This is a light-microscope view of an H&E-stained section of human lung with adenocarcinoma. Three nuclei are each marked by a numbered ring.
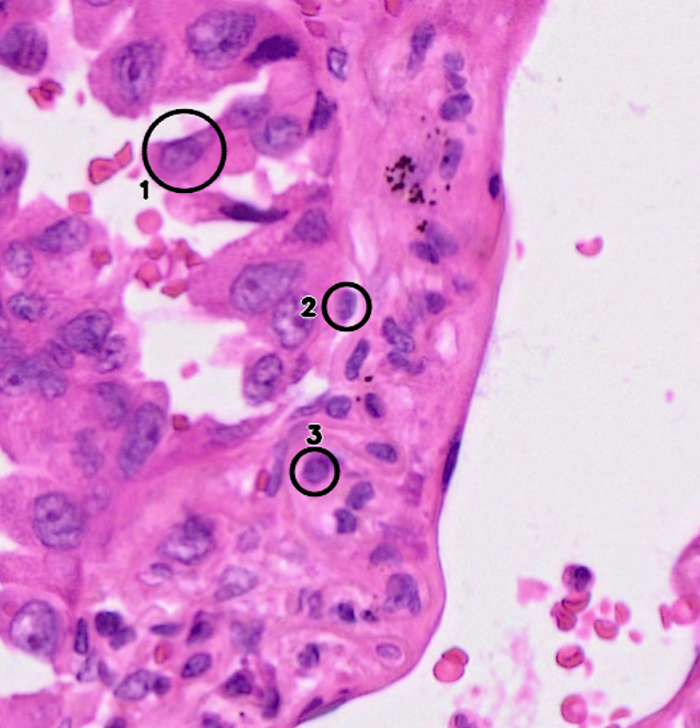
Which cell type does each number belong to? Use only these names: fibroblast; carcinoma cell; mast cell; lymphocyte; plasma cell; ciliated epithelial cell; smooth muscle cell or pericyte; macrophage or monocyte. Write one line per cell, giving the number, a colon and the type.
1: carcinoma cell
2: lymphocyte
3: plasma cell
